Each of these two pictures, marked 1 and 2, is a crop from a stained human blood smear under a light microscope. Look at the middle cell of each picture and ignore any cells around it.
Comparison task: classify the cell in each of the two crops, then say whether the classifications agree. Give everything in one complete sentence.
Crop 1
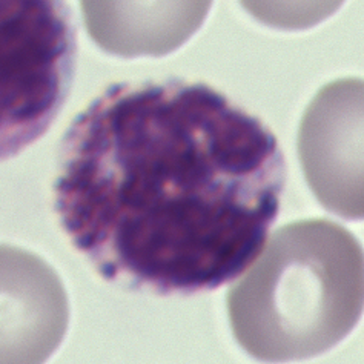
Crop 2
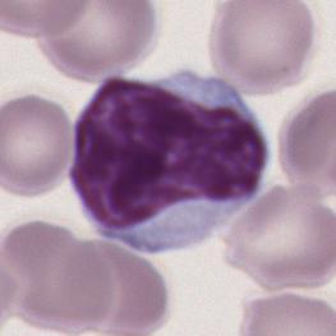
No, in crop 1 there is a basophil, and in crop 2 there is a typical lymphocyte.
